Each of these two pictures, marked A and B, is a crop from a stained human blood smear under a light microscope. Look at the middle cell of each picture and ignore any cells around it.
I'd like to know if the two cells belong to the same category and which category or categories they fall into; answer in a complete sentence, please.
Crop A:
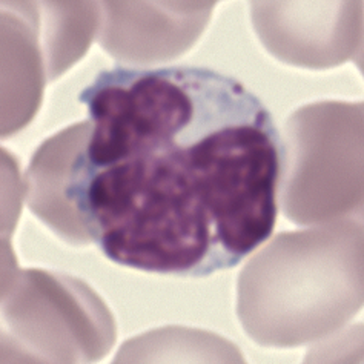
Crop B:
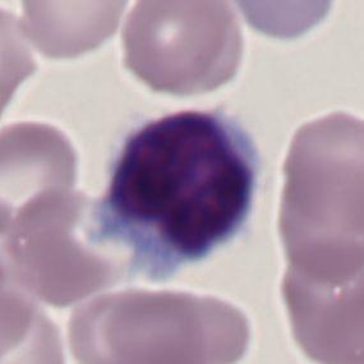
No, a typical lymphocyte is shown in crop A and a hairy cell in crop B.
